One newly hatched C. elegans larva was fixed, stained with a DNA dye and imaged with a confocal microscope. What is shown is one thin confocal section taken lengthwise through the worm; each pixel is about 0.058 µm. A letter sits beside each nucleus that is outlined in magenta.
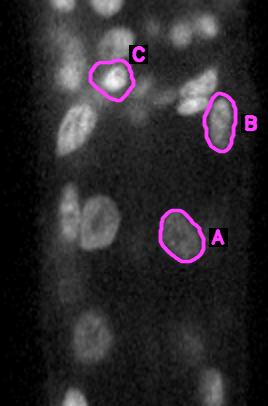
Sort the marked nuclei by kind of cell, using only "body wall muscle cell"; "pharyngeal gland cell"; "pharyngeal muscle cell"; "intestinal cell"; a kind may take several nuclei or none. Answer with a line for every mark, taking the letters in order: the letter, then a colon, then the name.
A: intestinal cell
B: body wall muscle cell
C: pharyngeal gland cell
